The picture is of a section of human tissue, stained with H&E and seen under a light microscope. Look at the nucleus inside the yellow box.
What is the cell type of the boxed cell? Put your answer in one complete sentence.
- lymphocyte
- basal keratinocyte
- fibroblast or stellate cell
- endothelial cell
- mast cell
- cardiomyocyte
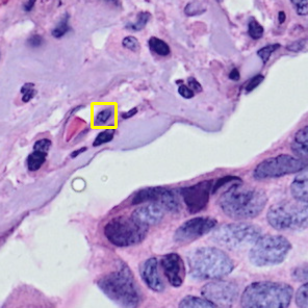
By its classification, the boxed cell is an endothelial cell.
